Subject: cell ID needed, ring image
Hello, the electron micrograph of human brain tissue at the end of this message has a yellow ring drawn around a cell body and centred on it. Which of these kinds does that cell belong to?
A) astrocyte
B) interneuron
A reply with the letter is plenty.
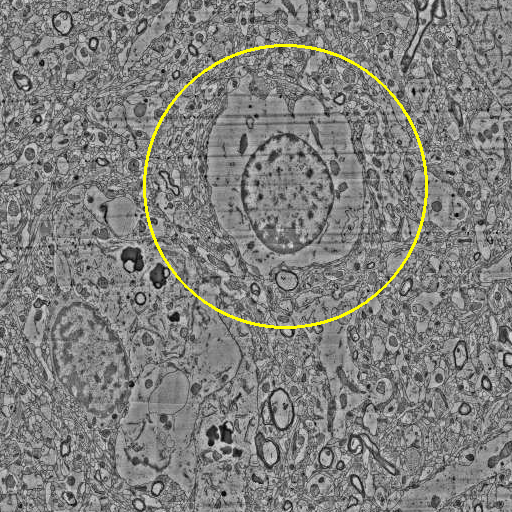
A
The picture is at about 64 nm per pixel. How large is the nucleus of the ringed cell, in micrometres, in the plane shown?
Approximately 7 x 6 micrometres in this plane.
